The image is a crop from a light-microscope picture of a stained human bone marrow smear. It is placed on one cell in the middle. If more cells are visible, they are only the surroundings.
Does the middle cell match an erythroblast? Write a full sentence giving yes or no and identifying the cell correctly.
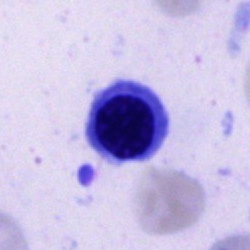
Yes, the crop's central cell is an erythroblast.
